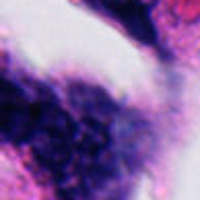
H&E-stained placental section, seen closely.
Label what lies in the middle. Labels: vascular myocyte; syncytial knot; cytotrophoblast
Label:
syncytial knot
